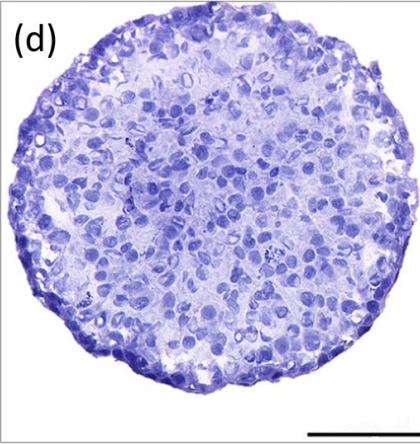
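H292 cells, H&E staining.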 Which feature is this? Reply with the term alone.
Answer: Tumour spheroid.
